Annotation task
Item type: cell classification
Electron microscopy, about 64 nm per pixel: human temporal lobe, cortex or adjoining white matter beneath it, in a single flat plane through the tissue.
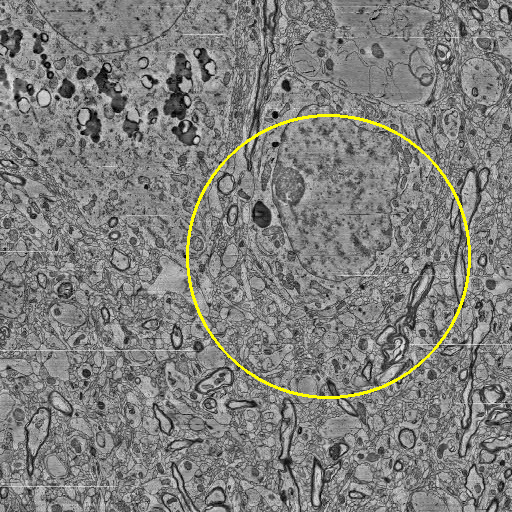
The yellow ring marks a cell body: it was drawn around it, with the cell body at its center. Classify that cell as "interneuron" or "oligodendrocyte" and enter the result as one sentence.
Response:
The ring's center falls on an interneuron.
